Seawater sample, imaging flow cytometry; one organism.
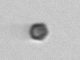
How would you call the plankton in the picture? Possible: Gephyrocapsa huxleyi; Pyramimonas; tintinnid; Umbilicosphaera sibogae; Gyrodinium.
I would call it Gephyrocapsa huxleyi.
